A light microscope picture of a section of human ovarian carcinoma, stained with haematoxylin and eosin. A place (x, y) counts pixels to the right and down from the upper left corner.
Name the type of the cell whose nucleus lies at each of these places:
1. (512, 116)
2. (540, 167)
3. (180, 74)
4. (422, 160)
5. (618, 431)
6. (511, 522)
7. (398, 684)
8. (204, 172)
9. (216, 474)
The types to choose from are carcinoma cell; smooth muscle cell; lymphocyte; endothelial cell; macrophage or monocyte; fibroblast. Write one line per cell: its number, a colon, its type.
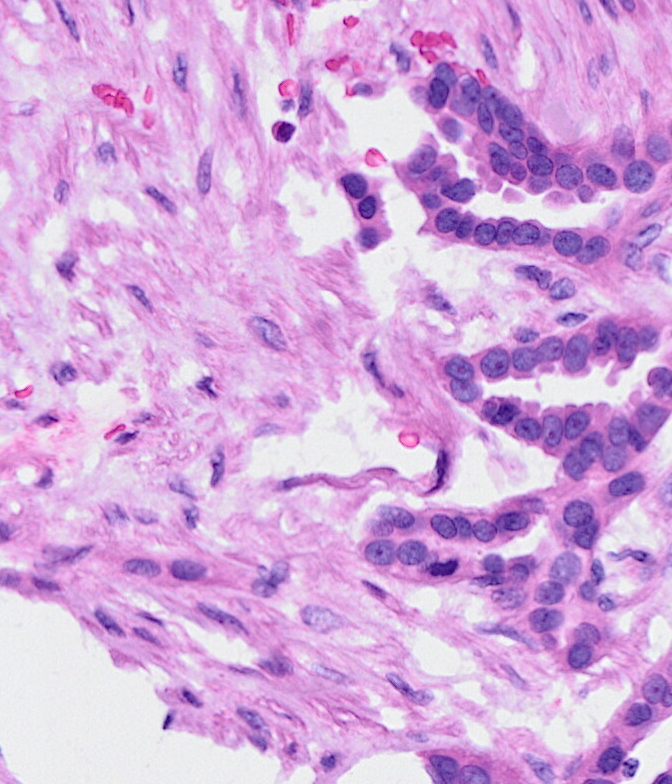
1: carcinoma cell
2: carcinoma cell
3: fibroblast
4: carcinoma cell
5: carcinoma cell
6: carcinoma cell
7: fibroblast
8: fibroblast
9: fibroblast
